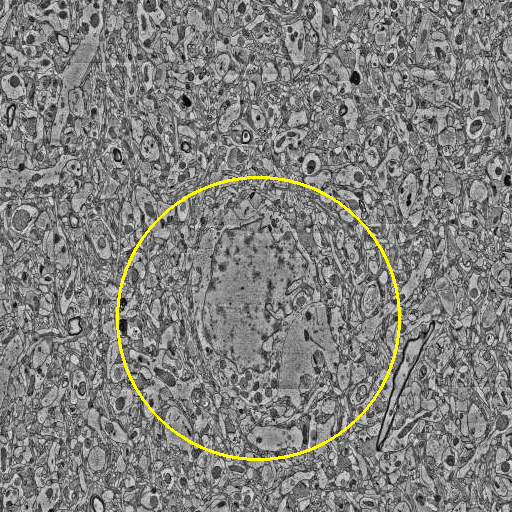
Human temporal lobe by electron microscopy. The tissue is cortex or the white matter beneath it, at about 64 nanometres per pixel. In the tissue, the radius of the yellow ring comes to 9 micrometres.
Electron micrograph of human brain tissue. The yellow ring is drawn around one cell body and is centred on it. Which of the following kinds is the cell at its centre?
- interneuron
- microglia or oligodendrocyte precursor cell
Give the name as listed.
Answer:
interneuron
